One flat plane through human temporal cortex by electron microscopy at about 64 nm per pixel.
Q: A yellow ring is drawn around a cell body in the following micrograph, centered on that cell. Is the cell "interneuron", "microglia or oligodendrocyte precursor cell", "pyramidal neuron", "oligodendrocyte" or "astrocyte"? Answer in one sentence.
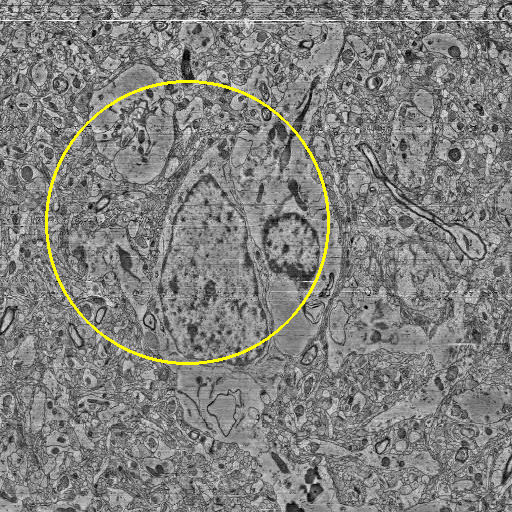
The cell in the center of the ring is a microglial cell or oligodendrocyte precursor cell.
